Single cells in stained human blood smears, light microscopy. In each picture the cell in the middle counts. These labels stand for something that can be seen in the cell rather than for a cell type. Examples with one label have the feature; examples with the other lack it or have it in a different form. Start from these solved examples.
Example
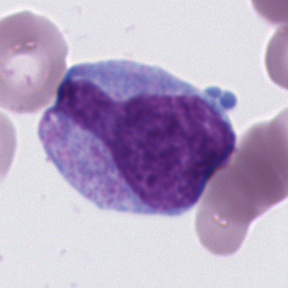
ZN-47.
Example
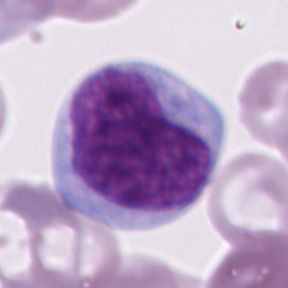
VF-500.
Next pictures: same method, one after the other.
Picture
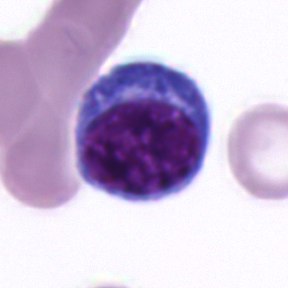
VF-500.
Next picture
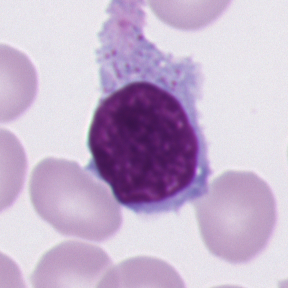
ZN-47.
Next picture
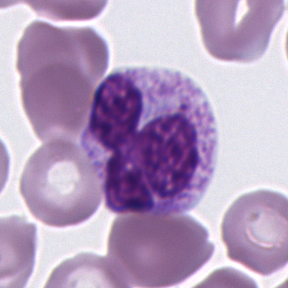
VF-500.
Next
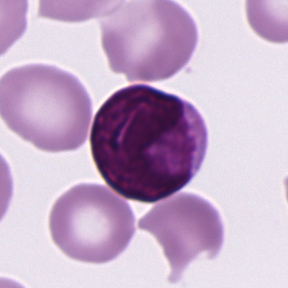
VF-500.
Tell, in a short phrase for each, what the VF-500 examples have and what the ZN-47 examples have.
VF-500: smooth outline; ZN-47: ragged outline or projections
